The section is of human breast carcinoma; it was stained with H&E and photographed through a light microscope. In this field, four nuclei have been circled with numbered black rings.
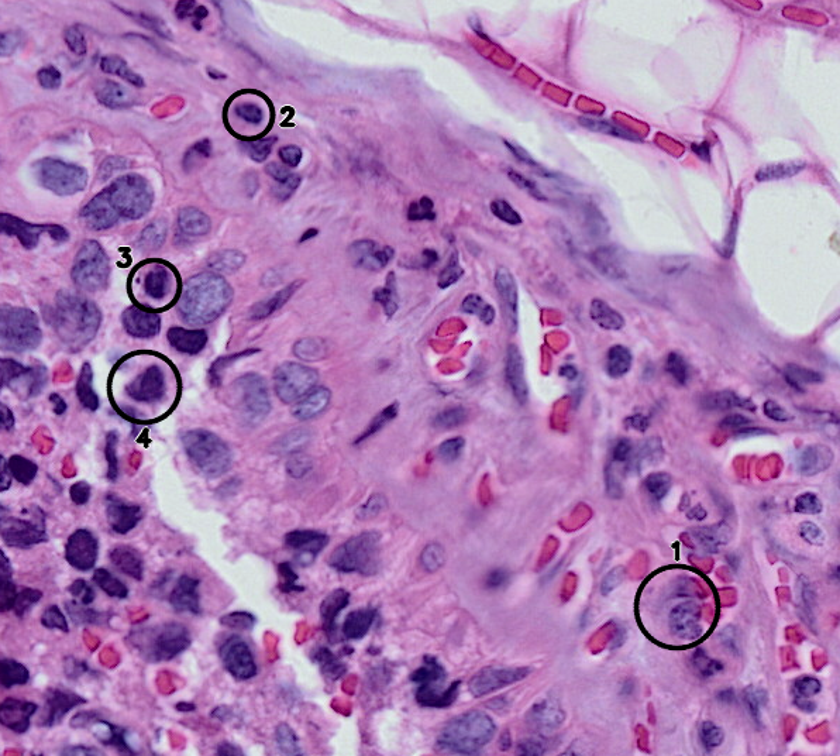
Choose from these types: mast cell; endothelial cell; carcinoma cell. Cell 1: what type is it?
endothelial cell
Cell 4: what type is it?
carcinoma cell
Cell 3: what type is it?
carcinoma cell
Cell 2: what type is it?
mast cell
